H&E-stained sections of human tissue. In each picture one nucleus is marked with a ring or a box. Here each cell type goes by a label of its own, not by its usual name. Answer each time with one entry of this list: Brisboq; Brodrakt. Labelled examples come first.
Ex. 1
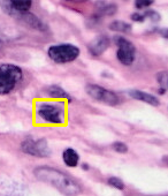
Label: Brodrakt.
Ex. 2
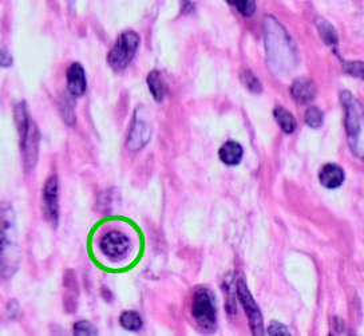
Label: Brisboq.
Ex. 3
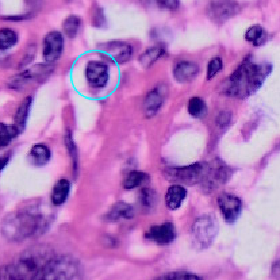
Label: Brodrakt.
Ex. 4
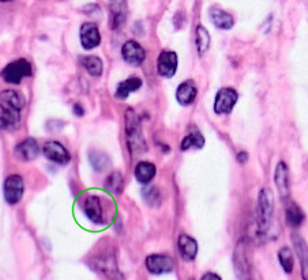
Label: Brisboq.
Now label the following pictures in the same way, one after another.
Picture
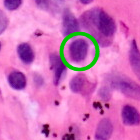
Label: Brodrakt.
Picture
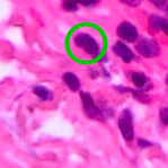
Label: Brodrakt.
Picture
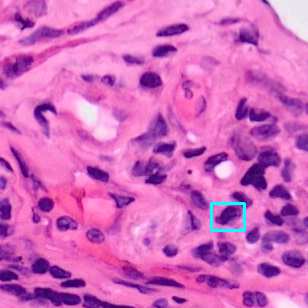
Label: Brodrakt.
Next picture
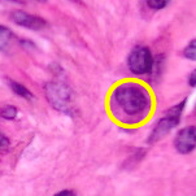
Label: Brisboq.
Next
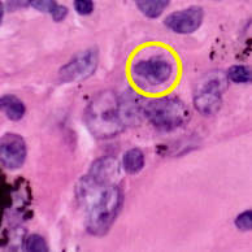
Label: Brodrakt.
